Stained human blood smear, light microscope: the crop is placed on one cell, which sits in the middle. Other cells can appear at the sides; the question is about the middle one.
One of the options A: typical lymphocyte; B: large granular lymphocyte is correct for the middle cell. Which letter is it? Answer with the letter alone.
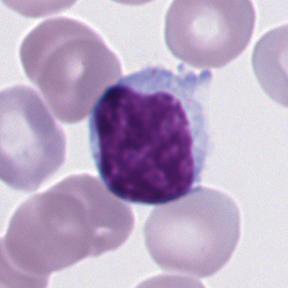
A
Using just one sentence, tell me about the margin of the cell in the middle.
It is the contour of the cell that is irregular, being ragged or projecting outward.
